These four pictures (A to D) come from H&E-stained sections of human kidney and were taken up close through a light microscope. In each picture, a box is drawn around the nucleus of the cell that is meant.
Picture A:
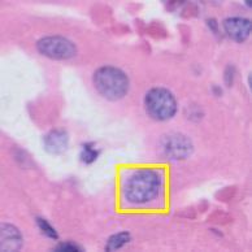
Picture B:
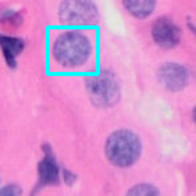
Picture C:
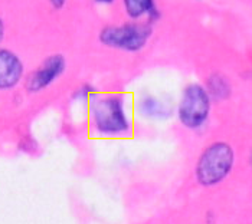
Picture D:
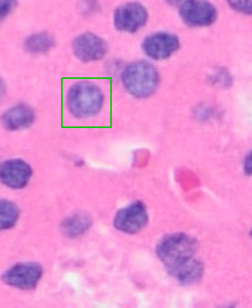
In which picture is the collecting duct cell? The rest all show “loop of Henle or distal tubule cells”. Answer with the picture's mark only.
B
